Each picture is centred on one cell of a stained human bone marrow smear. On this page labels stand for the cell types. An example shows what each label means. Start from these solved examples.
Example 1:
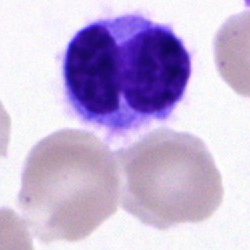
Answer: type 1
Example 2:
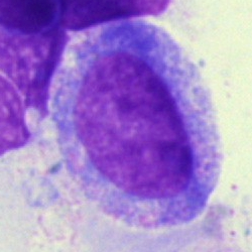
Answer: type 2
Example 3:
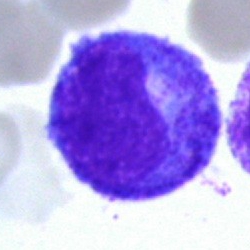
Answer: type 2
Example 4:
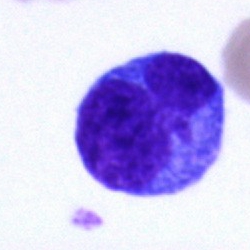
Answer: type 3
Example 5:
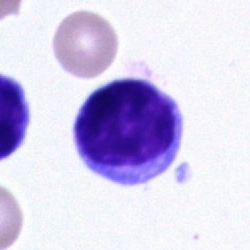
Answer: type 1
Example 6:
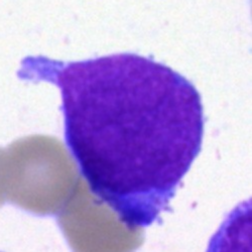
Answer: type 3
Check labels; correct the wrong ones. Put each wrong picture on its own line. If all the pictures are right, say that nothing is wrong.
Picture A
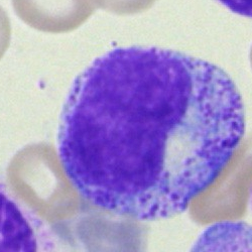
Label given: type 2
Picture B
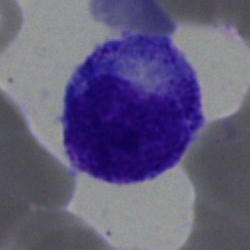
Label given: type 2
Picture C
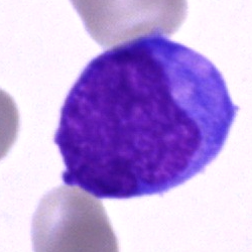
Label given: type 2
C should be type 3, not type 2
